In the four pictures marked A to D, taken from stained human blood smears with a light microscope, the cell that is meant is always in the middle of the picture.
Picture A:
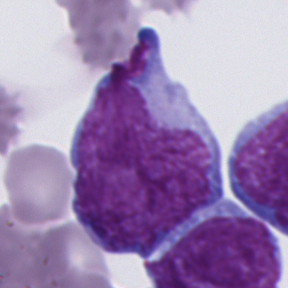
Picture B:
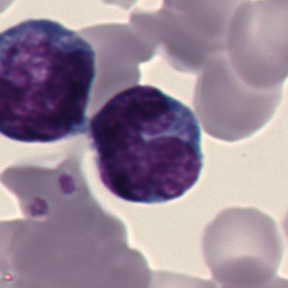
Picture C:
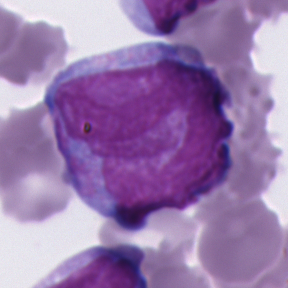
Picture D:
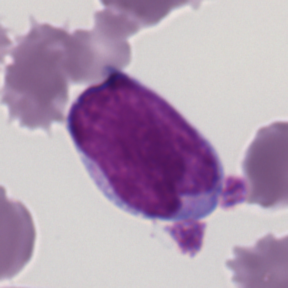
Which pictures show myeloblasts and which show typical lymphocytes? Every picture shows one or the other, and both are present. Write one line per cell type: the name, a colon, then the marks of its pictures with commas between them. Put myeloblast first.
myeloblast: A, C, D
typical lymphocyte: B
